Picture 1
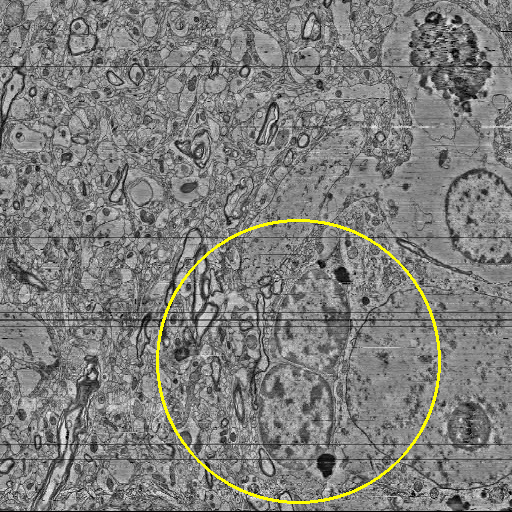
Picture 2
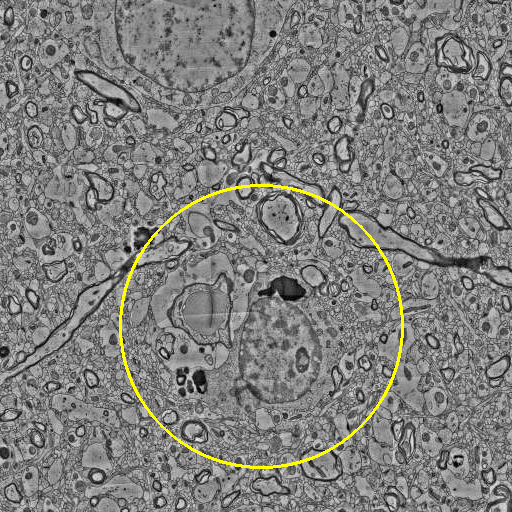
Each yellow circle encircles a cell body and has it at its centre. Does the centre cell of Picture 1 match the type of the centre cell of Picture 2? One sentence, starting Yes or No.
Yes, the cell centred in Picture 1 and the one in Picture 2 share a type.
